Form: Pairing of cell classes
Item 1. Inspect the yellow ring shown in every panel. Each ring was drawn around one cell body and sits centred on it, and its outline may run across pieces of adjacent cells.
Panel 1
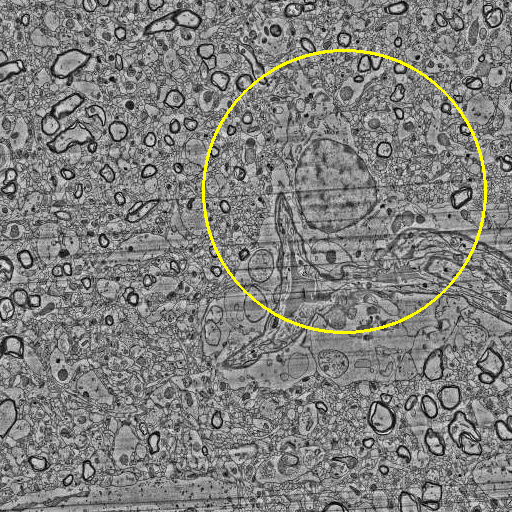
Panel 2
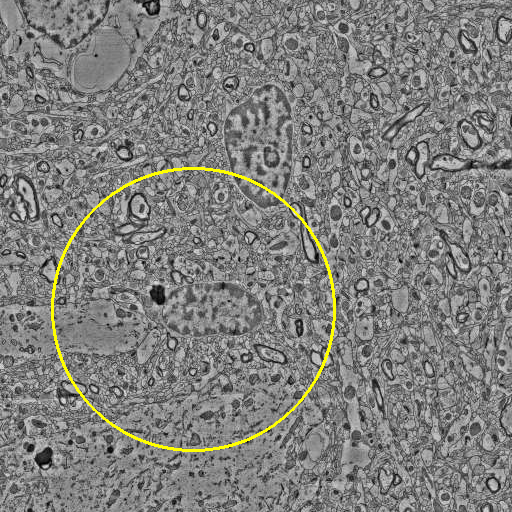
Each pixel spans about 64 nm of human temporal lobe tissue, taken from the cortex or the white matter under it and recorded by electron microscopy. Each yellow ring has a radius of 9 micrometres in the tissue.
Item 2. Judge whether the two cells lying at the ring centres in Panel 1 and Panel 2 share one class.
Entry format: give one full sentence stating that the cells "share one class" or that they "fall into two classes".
The cells at the ring centres in Panel 1 and Panel 2 fall into two classes.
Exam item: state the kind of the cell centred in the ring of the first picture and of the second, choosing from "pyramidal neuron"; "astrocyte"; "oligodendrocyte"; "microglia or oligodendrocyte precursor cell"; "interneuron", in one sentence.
The first picture shows a microglial cell or oligodendrocyte precursor cell at the ring centre and the second shows an oligodendrocyte.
